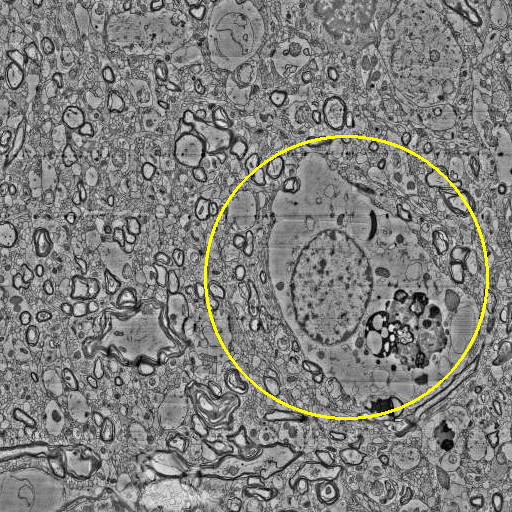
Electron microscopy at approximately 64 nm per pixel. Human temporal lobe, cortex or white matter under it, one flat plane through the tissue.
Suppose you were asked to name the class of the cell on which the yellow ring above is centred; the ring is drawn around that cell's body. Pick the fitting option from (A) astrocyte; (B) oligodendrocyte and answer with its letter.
A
